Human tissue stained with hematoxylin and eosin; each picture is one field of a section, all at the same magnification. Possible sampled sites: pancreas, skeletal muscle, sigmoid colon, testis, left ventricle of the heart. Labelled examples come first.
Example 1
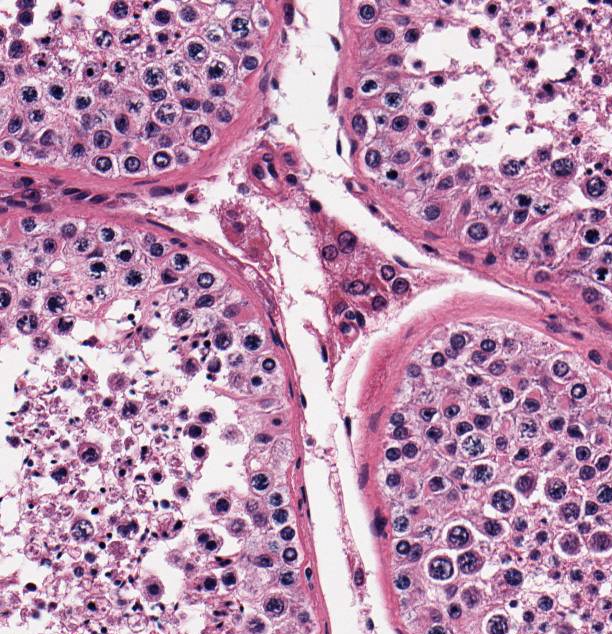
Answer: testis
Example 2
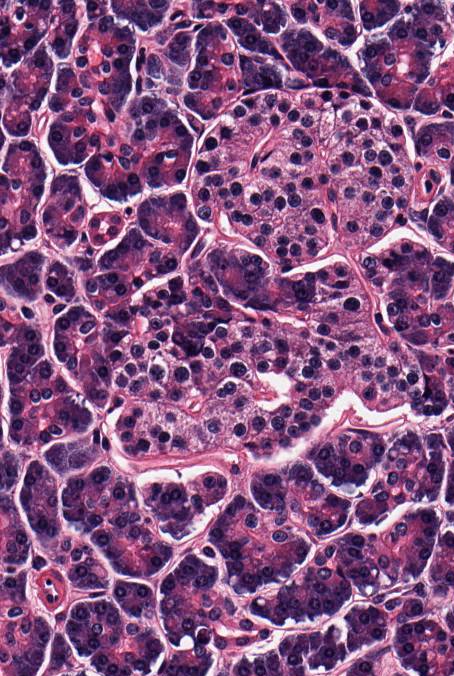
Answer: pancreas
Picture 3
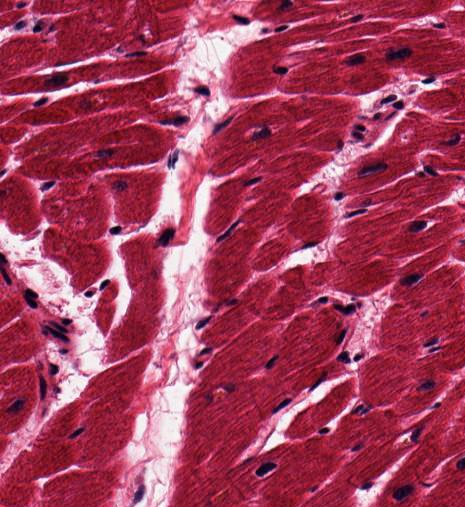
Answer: left ventricle of the heart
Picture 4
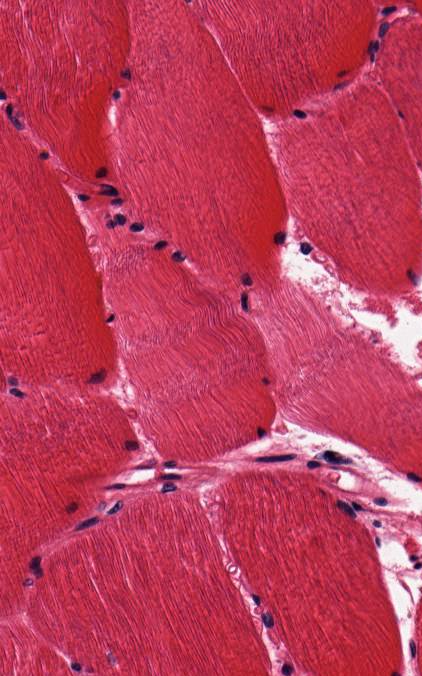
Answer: skeletal muscle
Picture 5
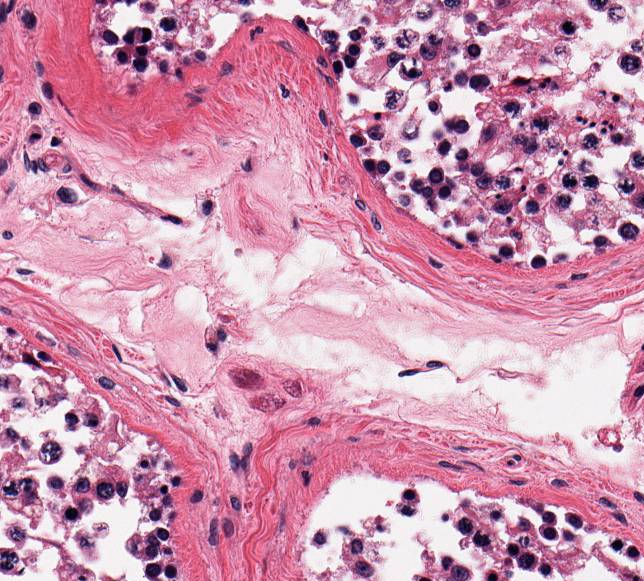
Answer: testis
